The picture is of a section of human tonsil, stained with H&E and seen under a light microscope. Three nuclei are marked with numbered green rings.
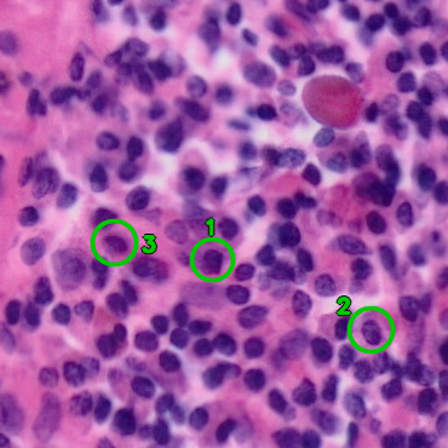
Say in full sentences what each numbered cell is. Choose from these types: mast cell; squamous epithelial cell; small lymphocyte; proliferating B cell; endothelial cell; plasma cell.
Cell 1 is an endothelial cell, cell 2 is a plasma cell and cell 3 is an endothelial cell.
